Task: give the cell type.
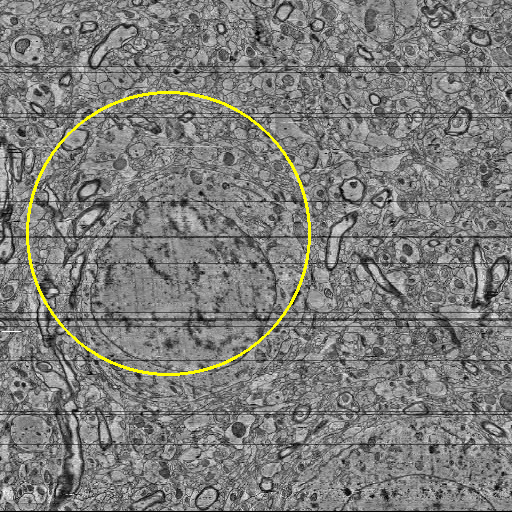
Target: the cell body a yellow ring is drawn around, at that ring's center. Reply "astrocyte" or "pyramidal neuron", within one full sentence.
In this picture, the cell whose body lies at the ring's center is a pyramidal neuron.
